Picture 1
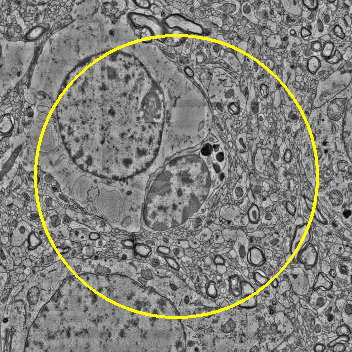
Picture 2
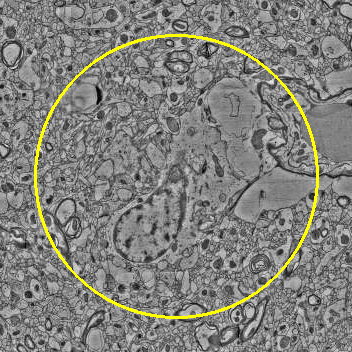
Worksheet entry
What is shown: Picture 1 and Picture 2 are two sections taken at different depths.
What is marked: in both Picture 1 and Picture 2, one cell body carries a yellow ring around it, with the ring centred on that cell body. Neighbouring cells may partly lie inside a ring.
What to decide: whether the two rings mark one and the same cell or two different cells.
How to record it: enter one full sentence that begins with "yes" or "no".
No, these are two different cells, each marked with a ring.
